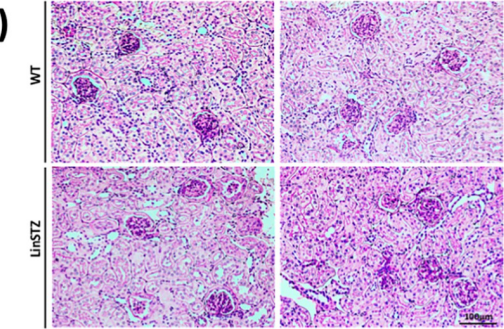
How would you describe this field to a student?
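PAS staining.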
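This is kidney tissue in which a handful of round glomeruli stand out as compact magenta tufts, each ringed by a narrow clear space, scattered among a dense field of tubules. The tubules are cut in cross and oblique section. Their epithelial walls stain pale pink, while their nuclei appear as small dark purple dots. Between the tubules lie thin strands of interstitium. In places the tissue looks more crowded with nuclei and less orderly, and a few vessel lumens appear as pale clear spaces. Overall, the tufted glomeruli are easy to pick out from the surrounding tubular tissue.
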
